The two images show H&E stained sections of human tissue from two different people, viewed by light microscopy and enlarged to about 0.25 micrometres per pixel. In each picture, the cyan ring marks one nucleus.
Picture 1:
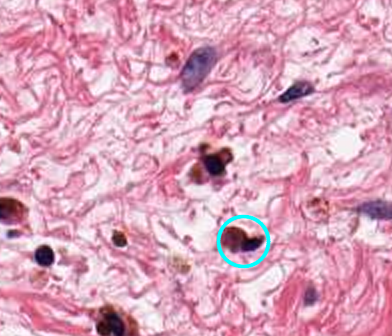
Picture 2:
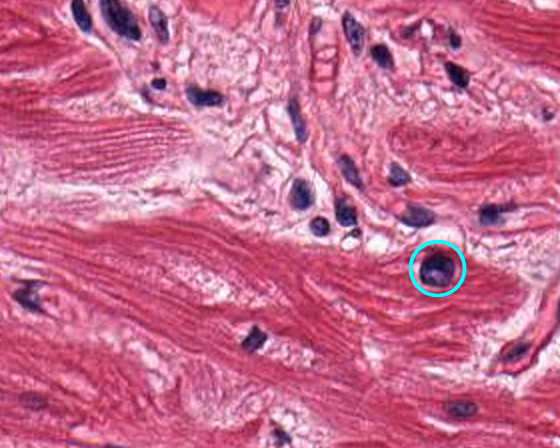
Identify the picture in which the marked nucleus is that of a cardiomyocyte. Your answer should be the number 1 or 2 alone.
2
